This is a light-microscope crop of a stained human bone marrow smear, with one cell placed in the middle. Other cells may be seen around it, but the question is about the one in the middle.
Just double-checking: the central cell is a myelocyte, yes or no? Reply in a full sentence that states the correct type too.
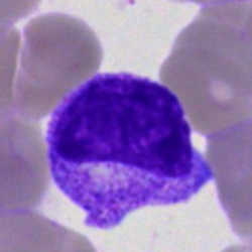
Yes, the cell shown at the crop's centre is a myelocyte.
